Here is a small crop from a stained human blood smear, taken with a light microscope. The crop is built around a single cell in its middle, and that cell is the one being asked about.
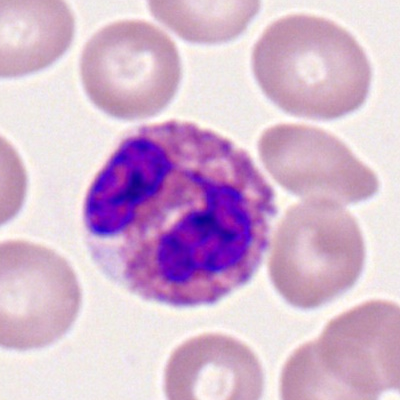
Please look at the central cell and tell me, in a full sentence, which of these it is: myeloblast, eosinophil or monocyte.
By classification, the middle cell of this crop is an eosinophil.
